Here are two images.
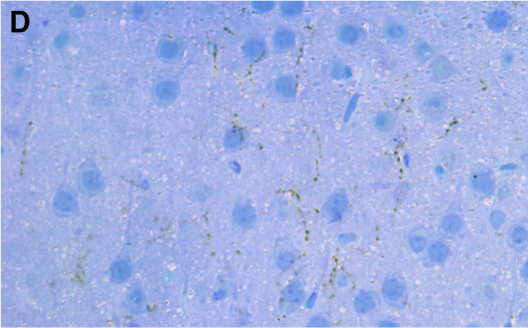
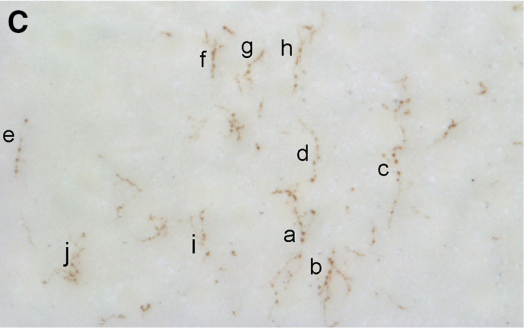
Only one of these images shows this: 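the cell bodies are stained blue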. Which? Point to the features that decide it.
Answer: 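First image: round and oval blue cell bodies fill a blue background among brown-green beaded strands. Second image: a pale cream section with only brown beaded strands and no stained cell bodies. The answer: the first image.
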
